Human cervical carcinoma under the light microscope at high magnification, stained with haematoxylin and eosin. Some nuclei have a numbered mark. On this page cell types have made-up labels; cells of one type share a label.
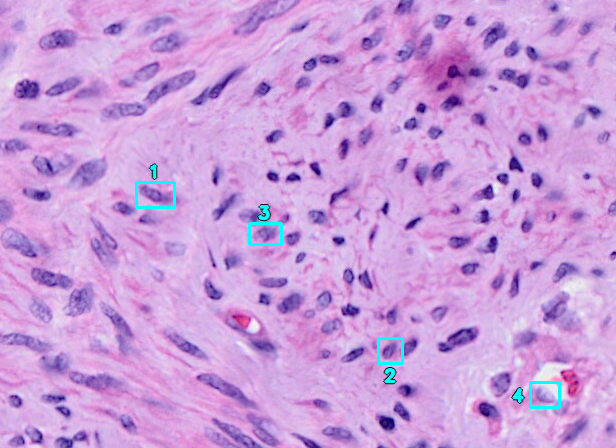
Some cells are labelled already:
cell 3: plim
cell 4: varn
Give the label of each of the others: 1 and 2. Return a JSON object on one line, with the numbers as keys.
{"1": "plim", "2": "plim"}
